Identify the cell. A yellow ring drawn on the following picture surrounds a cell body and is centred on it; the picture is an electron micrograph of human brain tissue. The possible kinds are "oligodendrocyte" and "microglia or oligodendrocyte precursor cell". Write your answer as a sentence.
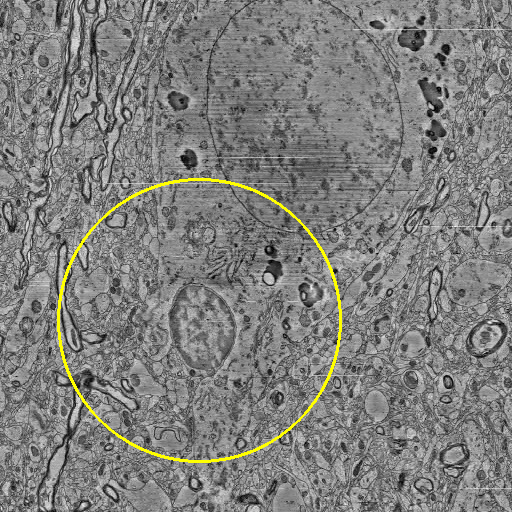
The cell identified by the ring is an oligodendrocyte.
